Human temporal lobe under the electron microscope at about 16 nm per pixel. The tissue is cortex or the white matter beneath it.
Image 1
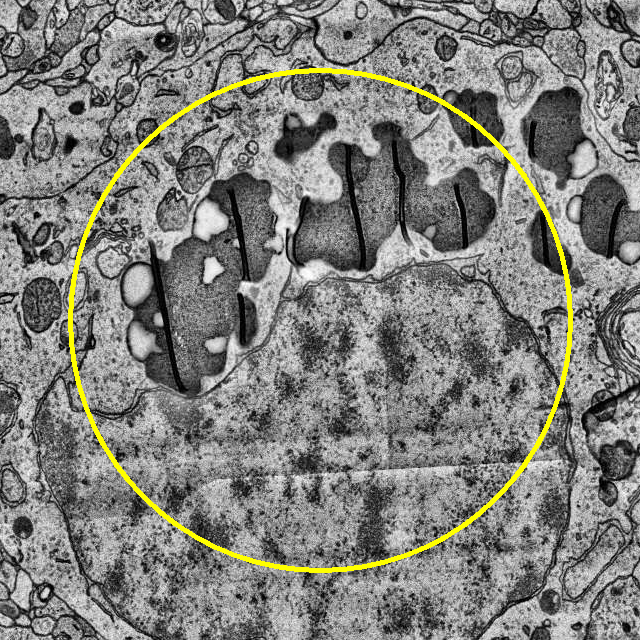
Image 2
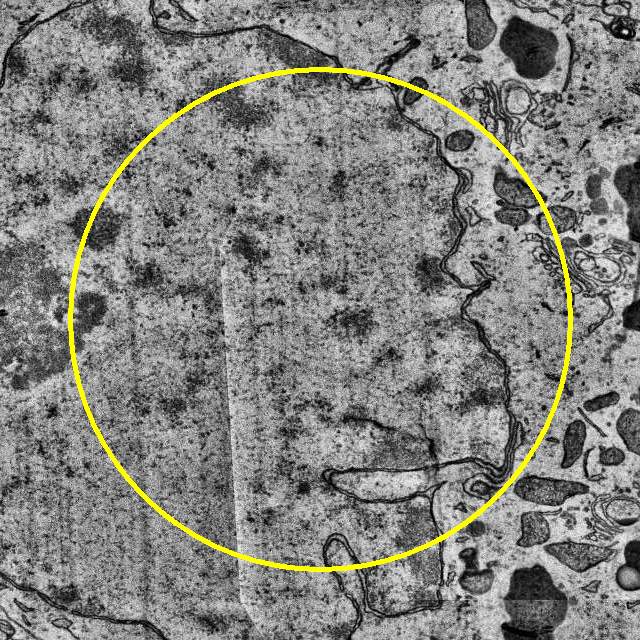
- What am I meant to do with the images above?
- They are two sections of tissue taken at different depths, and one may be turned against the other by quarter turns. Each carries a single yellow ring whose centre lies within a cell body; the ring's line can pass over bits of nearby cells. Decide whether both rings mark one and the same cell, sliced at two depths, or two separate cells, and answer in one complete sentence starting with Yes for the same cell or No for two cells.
No, the two yellow rings correspond to two separate cells.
